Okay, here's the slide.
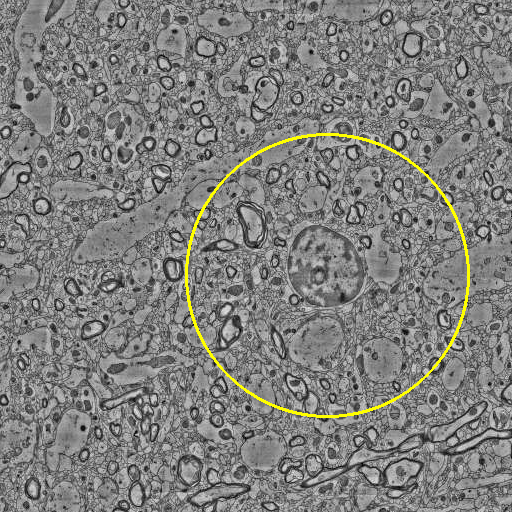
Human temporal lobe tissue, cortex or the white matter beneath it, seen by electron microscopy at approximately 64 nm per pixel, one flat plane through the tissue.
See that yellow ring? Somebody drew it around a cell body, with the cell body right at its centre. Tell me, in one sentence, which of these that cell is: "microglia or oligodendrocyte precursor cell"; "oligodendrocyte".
The cell in the middle of the ring is a microglial cell or oligodendrocyte precursor cell.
